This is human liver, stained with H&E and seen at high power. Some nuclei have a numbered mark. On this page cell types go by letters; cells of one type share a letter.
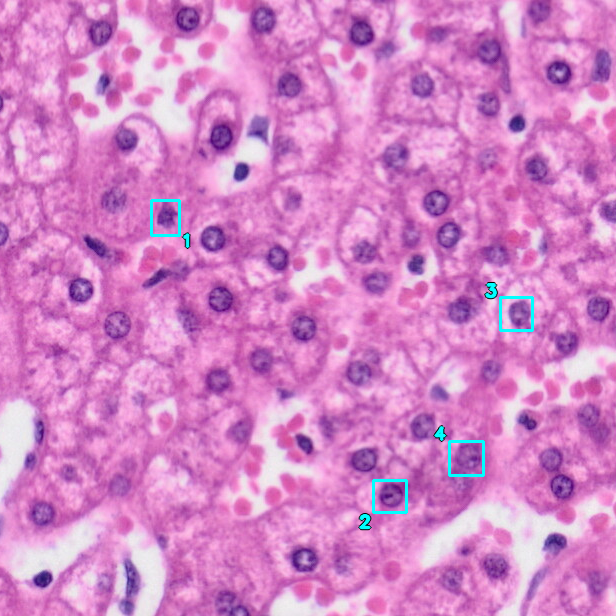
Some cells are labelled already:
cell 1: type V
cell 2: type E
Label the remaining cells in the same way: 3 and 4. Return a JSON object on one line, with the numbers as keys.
{"3": "type E", "4": "type E"}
